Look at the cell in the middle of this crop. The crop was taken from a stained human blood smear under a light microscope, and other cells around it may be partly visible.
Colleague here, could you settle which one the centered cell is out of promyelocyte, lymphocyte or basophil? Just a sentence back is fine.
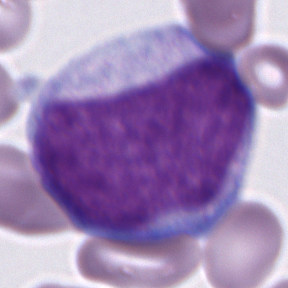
In the centre of this crop there is a promyelocyte.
